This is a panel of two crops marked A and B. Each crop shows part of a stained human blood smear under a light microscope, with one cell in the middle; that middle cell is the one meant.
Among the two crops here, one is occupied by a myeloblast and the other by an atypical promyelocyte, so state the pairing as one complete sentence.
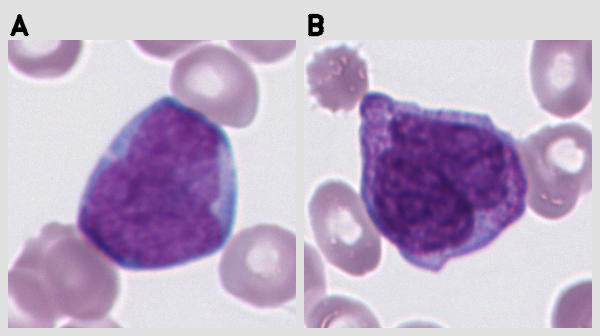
Crop A is occupied by a myeloblast, and crop B is occupied by an atypical promyelocyte.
